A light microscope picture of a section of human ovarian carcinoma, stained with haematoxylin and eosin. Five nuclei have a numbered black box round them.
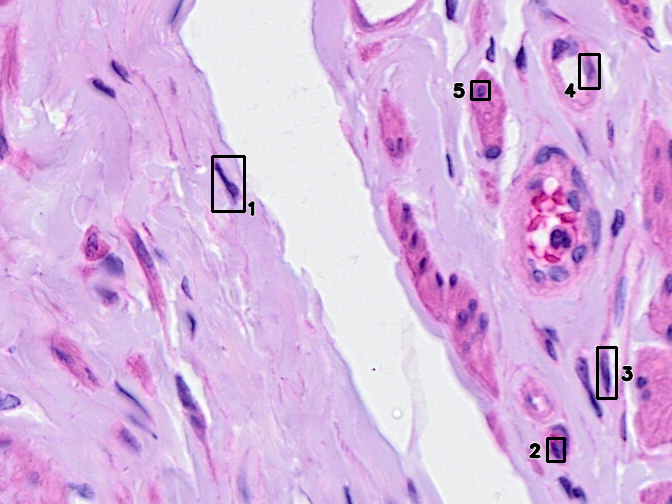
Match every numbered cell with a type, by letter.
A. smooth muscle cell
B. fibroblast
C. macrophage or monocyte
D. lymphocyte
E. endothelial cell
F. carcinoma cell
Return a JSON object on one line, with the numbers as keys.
{"1": "B", "2": "E", "3": "E", "4": "E", "5": "A"}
